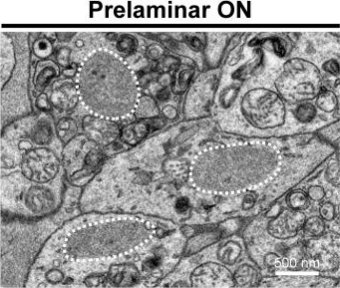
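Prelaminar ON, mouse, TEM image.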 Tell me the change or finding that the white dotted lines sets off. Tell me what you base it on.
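Proteinaceous aggregates. Each outlined area is oval and evenly grey with a fine granular texture. The outlined areas contain no membranes or organelles. The areas around them hold many small round membrane-bound organelles.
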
